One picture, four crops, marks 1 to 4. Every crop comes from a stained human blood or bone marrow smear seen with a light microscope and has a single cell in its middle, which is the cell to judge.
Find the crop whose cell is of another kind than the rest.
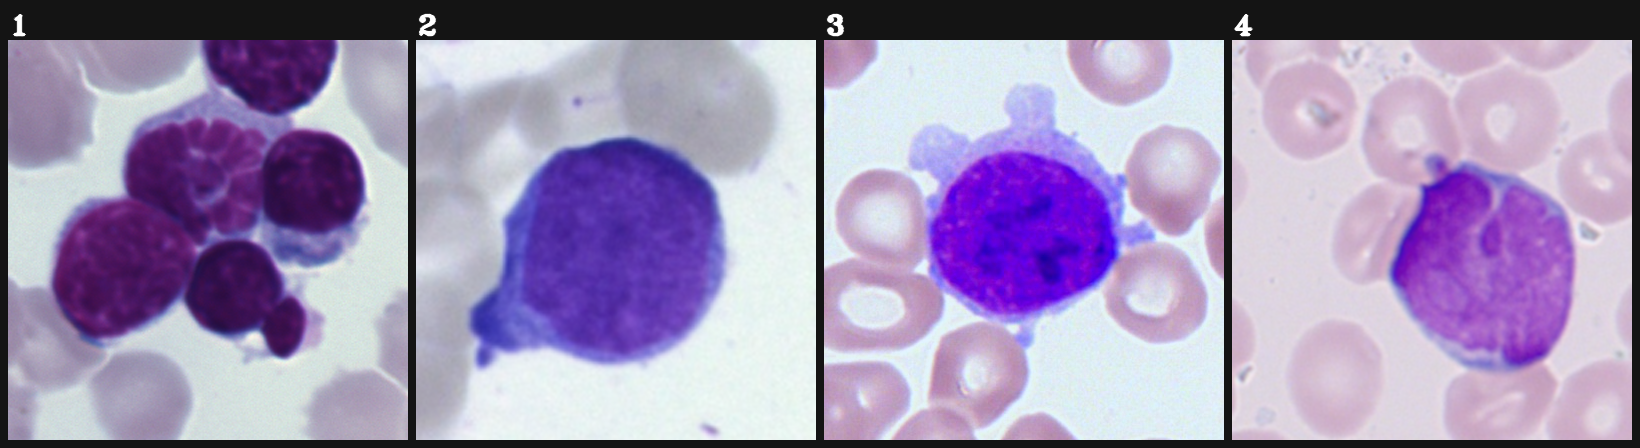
3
